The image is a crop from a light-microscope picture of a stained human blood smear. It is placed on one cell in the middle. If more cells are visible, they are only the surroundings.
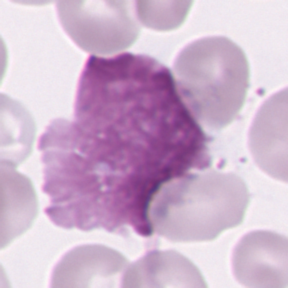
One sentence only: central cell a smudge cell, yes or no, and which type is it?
Yes, the cell positioned at the centre of the crop is a smudge cell.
